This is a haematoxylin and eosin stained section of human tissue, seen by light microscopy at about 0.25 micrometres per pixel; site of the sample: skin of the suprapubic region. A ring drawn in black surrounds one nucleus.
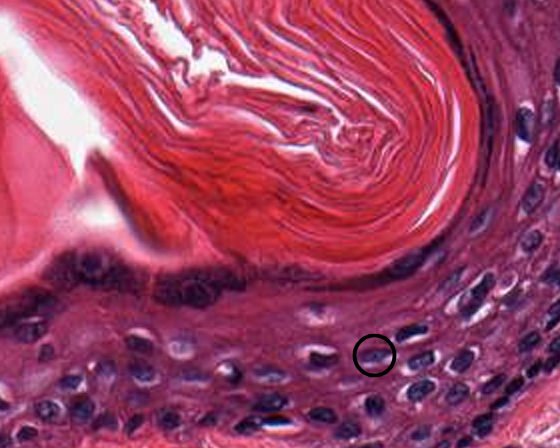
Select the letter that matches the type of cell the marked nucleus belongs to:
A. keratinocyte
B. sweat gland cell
A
